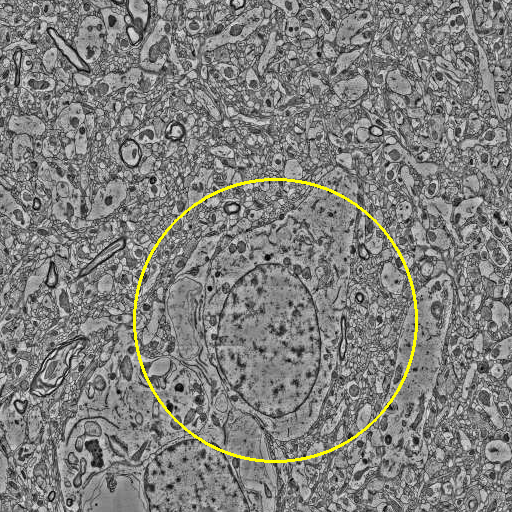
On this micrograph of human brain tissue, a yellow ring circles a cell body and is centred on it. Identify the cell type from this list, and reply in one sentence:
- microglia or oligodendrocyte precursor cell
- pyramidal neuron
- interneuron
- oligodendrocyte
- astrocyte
The cell at the centre is a pyramidal neuron.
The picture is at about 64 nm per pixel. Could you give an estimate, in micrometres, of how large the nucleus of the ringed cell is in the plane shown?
The nucleus works out at approximately 10 by 7 micrometres in this plane.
